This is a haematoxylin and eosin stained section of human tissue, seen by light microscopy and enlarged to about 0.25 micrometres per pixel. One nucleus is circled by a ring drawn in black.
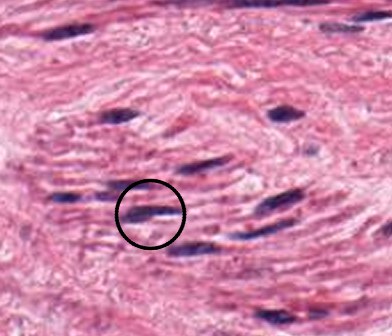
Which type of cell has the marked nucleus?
smooth muscle cell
